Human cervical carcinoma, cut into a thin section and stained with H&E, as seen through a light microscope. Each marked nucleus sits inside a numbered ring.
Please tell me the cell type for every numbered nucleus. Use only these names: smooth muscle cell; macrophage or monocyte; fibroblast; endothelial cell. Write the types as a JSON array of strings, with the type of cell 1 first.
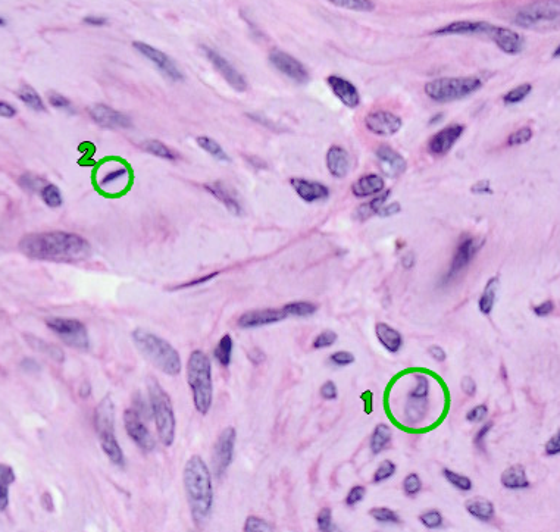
["smooth muscle cell", "fibroblast"]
